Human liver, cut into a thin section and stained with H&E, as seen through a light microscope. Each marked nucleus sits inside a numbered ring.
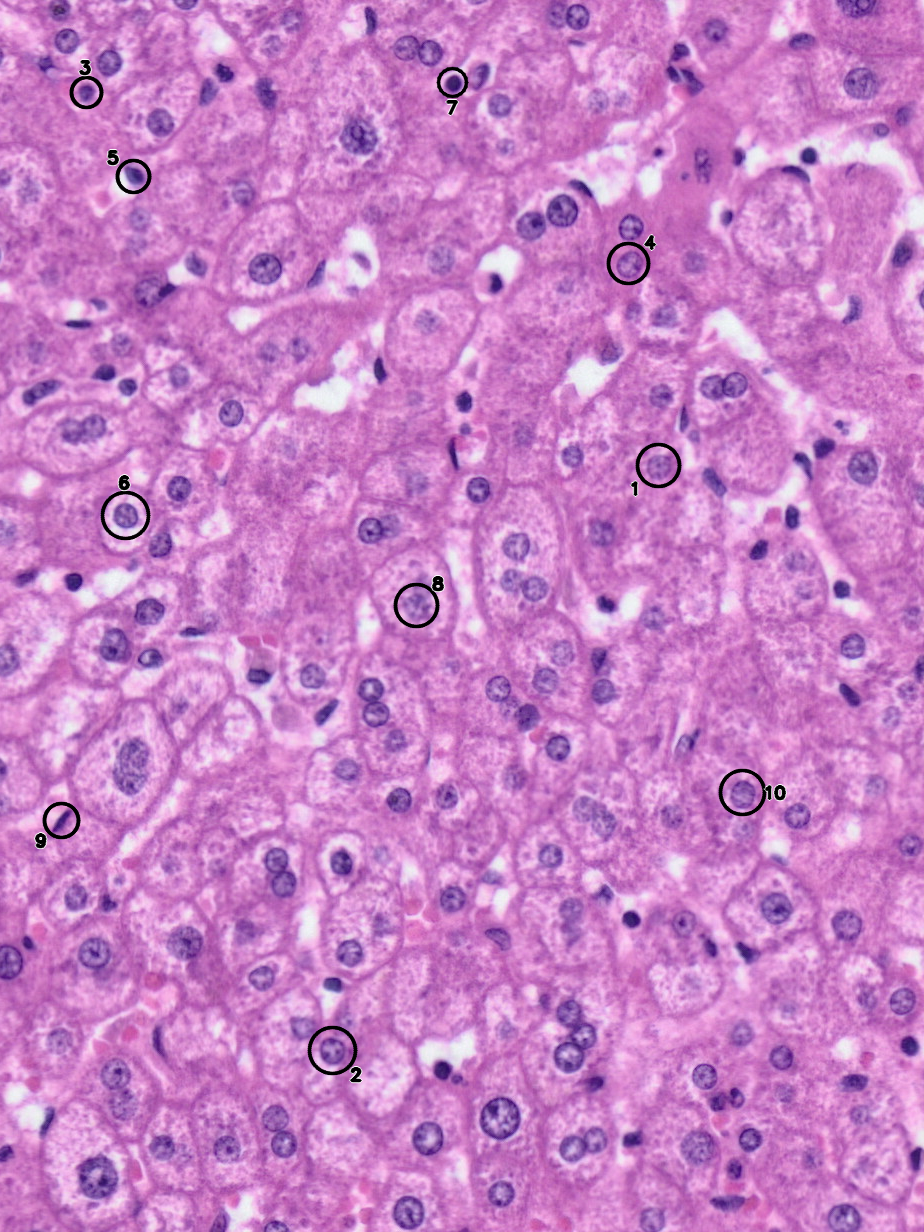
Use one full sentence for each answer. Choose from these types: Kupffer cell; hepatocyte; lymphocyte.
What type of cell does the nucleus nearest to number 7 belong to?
Number 7 lies closest to the nucleus of a Kupffer cell.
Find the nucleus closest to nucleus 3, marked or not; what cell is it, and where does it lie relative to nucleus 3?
A hepatocyte lies closest, above and to the right of nucleus 3.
